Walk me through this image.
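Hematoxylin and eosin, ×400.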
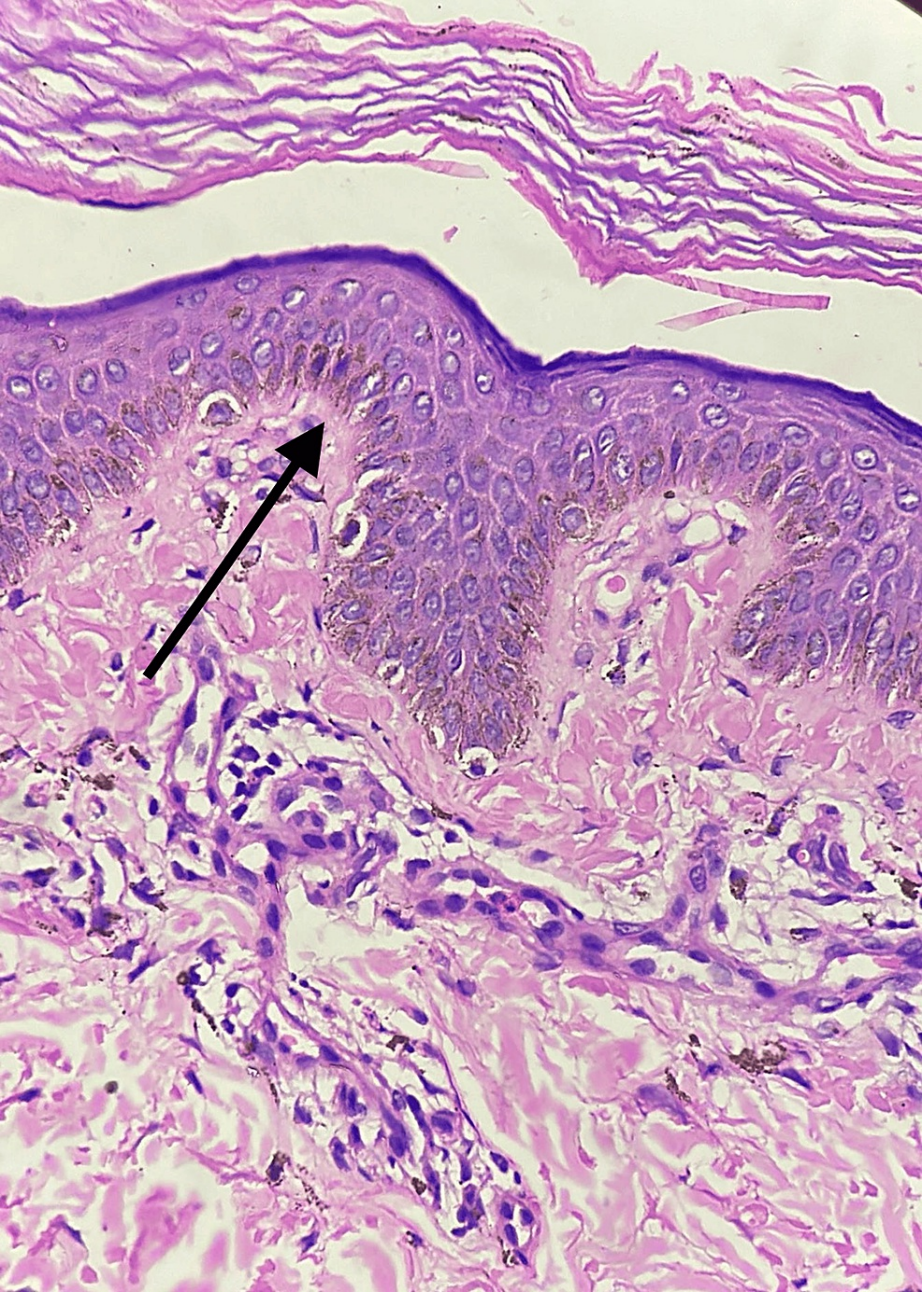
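This is skin, with the epidermis of stratified squamous keratinocytes in the upper half and the dermis below. Above the epidermis lies a thick, pink, layered sheet of anucleate keratin, consistent with hyperkeratosis. The keratinocytes have oval purple nuclei and pale cytoplasm, and the cells of the basal layer hold abundant fine brown pigment granules, giving the base of the epidermis a brown band. In the upper dermis, below the rete ridges, scattered clumps of brown pigment lie free or within cells, indicating mild melanin incontinence. Around the small vessels of the dermis sits a modest collection of small dark round and spindle-shaped nuclei, a perivascular chronic inflammatory infiltrate, set in pink collagen.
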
